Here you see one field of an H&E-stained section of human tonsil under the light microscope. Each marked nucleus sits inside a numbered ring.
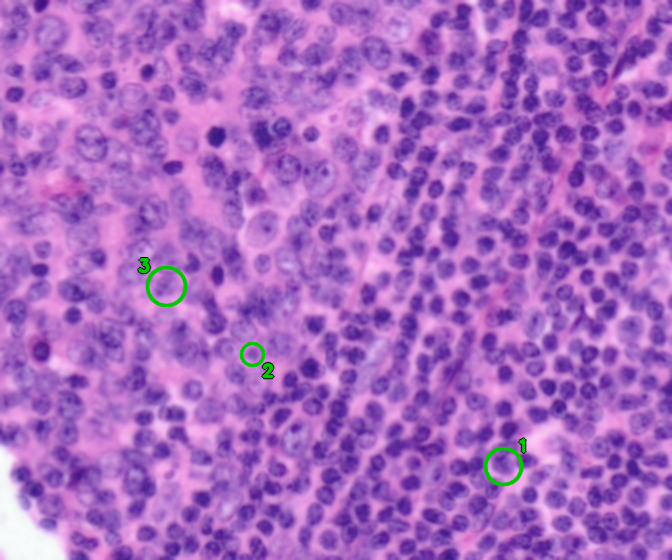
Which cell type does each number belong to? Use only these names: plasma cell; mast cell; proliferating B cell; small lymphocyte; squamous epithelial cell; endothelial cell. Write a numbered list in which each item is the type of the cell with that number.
1. small lymphocyte
2. proliferating B cell
3. proliferating B cell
